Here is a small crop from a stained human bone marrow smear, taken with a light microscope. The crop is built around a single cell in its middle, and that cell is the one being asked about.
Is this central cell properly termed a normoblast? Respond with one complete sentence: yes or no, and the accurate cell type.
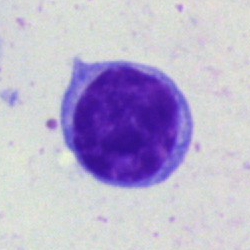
No, the cell in the middle of the field is a lymphocyte, not a normoblast as suggested.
